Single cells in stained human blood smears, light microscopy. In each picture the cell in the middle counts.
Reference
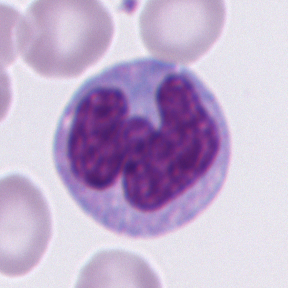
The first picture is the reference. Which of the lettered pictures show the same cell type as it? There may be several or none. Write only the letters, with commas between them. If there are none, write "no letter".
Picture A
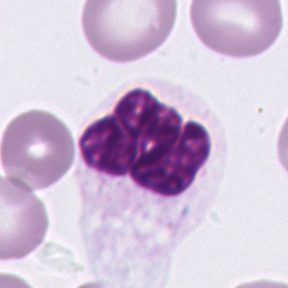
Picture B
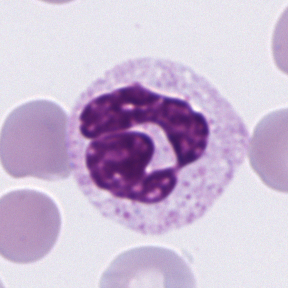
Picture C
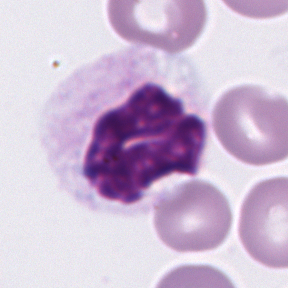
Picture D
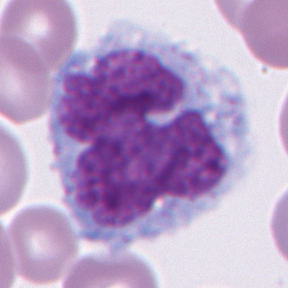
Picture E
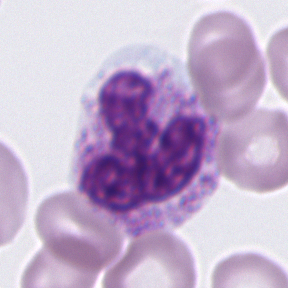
D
